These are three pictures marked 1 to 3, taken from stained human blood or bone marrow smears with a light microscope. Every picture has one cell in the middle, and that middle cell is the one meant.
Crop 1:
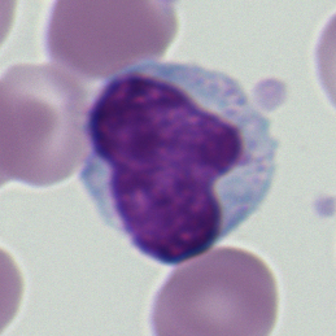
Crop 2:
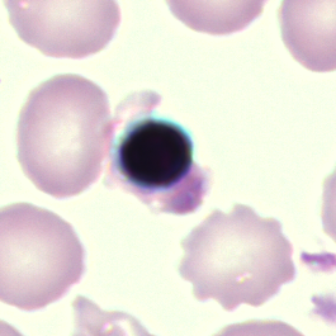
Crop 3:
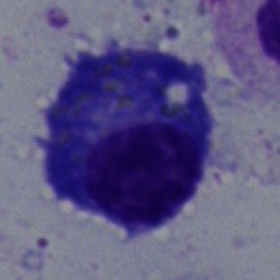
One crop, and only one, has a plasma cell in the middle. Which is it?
3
